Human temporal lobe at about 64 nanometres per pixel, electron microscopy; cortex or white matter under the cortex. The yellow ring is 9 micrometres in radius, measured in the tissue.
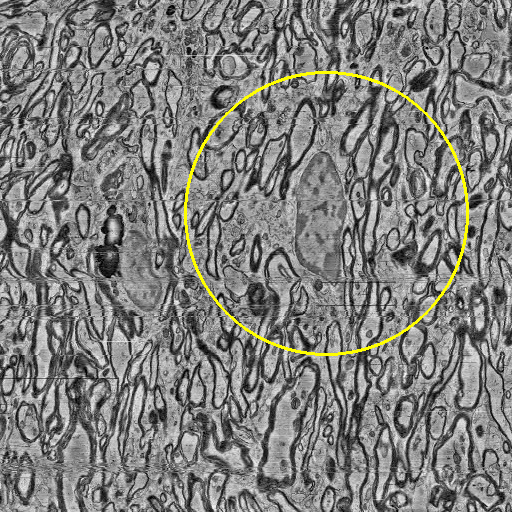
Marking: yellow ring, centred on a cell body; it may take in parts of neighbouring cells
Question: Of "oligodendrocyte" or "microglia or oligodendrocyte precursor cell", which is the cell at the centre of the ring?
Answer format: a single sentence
The ring surrounds the body of a microglial cell or oligodendrocyte precursor cell.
